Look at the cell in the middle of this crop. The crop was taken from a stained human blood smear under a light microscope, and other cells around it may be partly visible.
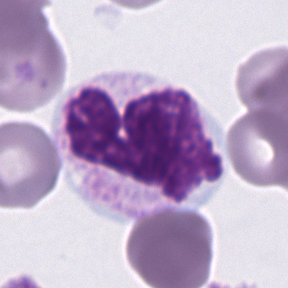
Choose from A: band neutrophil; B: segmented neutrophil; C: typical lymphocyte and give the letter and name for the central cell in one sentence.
The central cell in this crop is a segmented neutrophil, corresponding to option B, the correct option.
